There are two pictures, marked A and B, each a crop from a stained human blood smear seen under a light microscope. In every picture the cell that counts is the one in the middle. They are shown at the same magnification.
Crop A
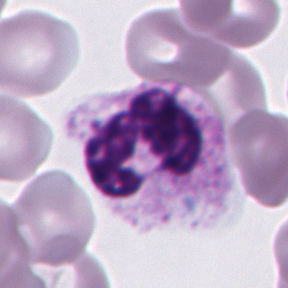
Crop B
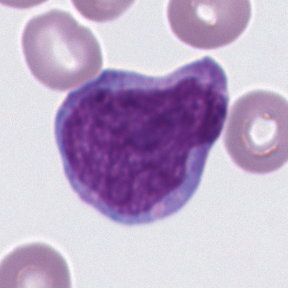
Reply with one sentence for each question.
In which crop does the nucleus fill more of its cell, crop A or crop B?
In crop B the nucleus takes up the larger part of its cell.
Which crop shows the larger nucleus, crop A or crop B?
The nucleus in crop B is larger, with about 2 times the area of the one in crop A.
